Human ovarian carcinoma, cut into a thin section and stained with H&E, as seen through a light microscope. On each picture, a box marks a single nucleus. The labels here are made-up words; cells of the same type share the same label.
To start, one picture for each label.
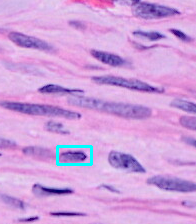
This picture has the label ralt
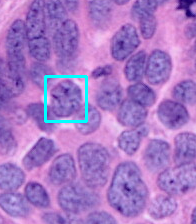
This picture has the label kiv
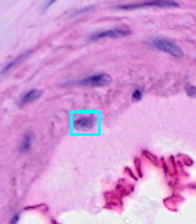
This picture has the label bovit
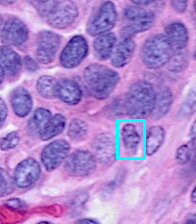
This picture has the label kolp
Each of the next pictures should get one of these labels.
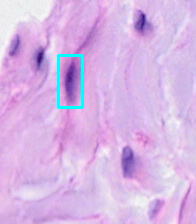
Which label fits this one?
bovit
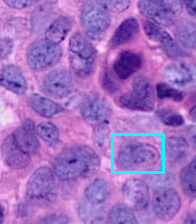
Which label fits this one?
kiv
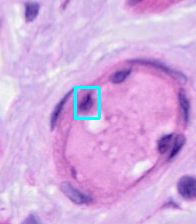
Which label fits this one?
bovit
